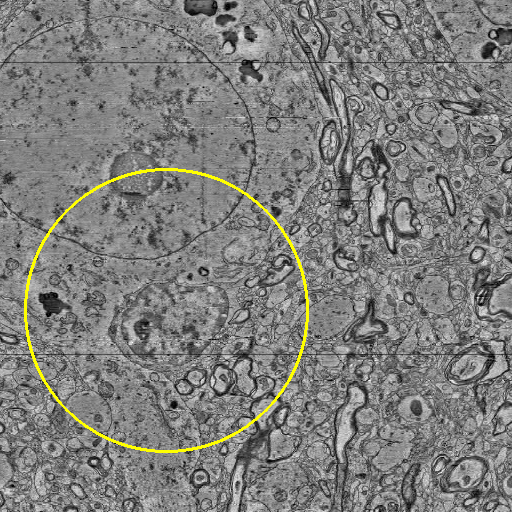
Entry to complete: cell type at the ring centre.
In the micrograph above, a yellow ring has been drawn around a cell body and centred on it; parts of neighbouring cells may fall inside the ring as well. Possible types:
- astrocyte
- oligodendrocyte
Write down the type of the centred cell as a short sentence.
The ring is centred on an oligodendrocyte.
